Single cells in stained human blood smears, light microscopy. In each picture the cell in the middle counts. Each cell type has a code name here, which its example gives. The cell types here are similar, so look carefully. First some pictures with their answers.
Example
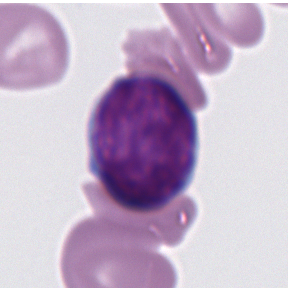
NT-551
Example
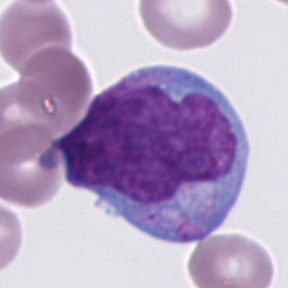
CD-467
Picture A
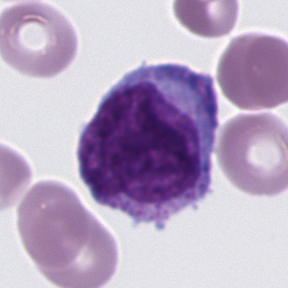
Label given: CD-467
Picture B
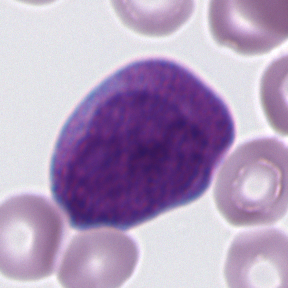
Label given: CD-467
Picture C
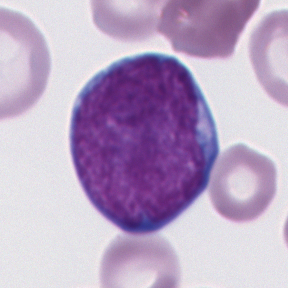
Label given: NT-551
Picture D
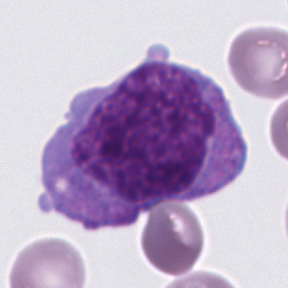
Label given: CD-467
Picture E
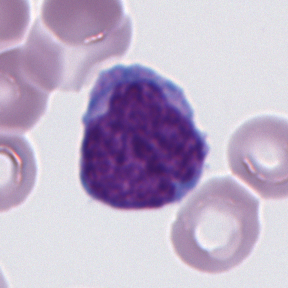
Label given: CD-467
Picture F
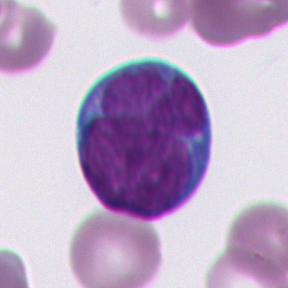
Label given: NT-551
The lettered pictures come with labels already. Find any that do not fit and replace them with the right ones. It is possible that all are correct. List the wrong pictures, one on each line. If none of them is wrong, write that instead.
Every label is right.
